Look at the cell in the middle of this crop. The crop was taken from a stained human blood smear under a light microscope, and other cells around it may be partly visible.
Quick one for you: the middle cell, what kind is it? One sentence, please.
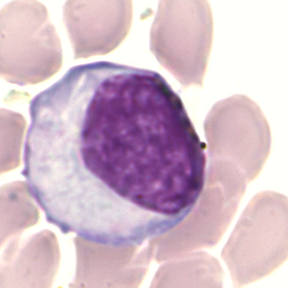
In the central position of this crop, the cell is a plasma cell.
